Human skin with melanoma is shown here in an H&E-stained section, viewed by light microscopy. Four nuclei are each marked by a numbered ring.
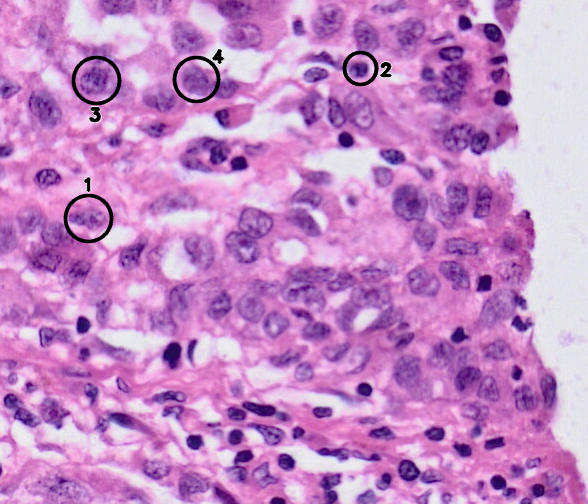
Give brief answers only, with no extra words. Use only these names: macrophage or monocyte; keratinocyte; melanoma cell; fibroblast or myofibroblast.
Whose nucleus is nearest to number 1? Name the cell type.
melanoma cell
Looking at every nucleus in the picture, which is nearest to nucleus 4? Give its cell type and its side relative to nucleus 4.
a melanoma cell, to the right of nucleus 4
